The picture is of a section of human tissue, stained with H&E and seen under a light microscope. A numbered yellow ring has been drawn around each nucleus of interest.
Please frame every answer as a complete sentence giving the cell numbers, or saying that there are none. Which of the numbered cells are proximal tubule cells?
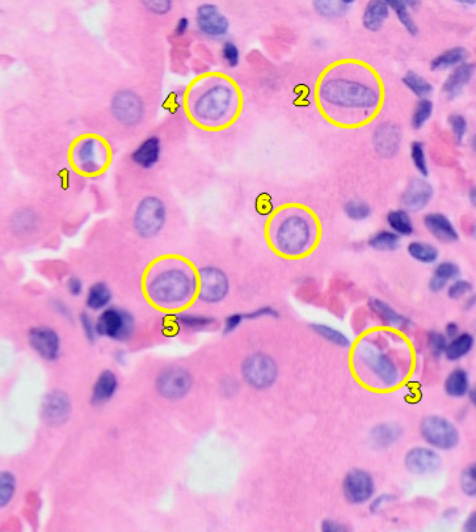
The cells that have been numbered 2, 4, 5 and 6 are proximal tubule cells.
